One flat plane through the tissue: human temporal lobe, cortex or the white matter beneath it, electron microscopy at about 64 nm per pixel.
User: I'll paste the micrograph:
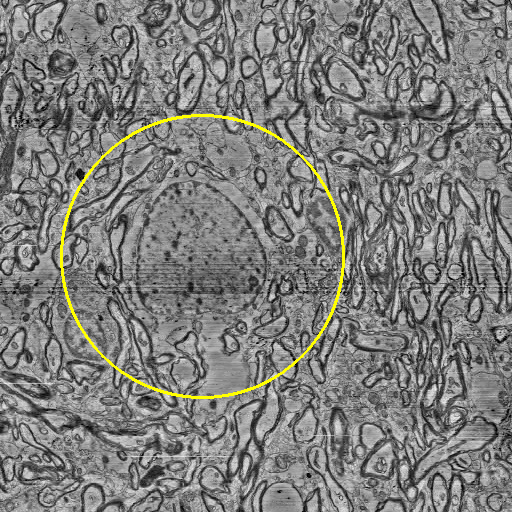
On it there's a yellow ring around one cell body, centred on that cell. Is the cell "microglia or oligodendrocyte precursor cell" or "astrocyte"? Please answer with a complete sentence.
The cell ringed in yellow is an astrocyte.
